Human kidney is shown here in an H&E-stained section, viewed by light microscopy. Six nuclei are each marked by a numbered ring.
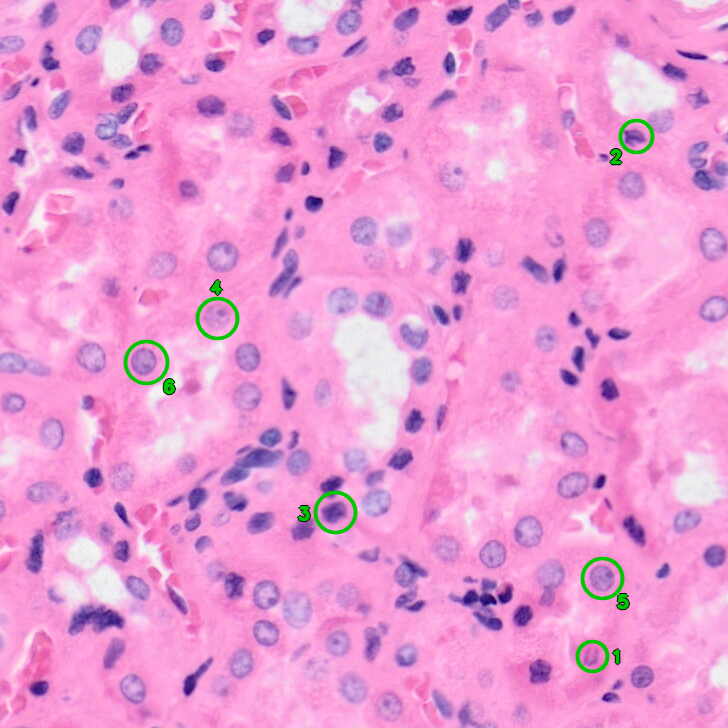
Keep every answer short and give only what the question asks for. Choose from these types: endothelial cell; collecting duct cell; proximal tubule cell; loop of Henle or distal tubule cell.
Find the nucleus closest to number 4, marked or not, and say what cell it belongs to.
proximal tubule cell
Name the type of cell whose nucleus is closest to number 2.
loop of Henle or distal tubule cell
